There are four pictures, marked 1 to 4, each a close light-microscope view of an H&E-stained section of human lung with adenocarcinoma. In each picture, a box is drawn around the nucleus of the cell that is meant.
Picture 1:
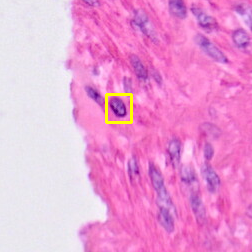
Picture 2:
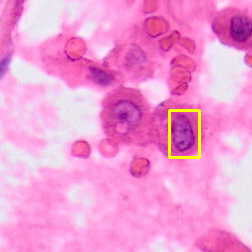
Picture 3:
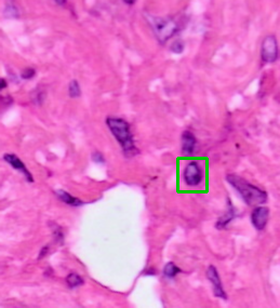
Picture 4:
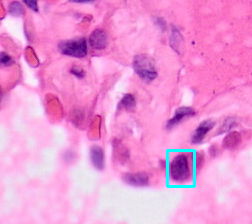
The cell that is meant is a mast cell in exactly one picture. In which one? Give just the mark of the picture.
1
